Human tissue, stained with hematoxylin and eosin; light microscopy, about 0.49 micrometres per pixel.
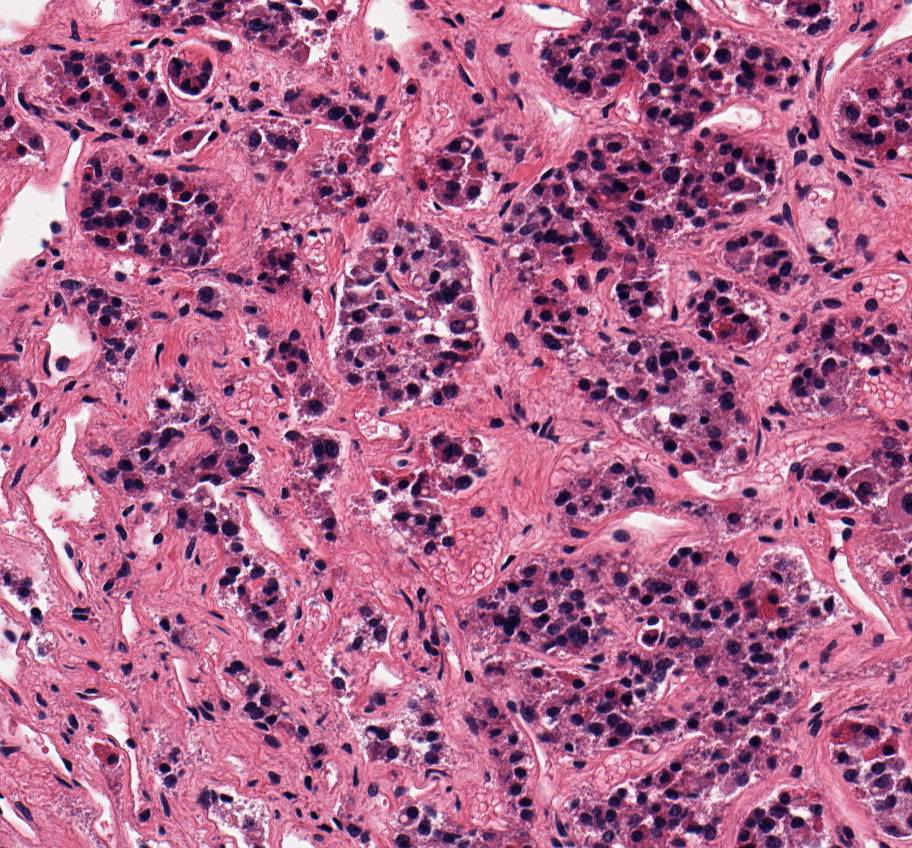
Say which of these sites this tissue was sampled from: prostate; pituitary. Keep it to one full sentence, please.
This slide holds tissue sampled from the pituitary.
